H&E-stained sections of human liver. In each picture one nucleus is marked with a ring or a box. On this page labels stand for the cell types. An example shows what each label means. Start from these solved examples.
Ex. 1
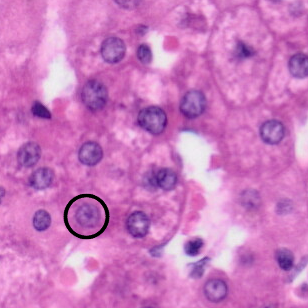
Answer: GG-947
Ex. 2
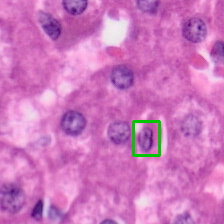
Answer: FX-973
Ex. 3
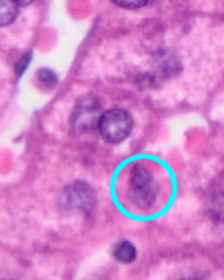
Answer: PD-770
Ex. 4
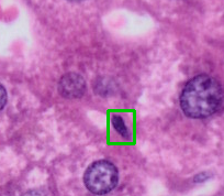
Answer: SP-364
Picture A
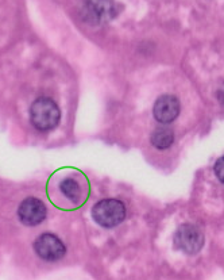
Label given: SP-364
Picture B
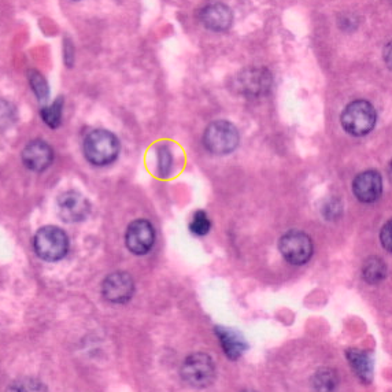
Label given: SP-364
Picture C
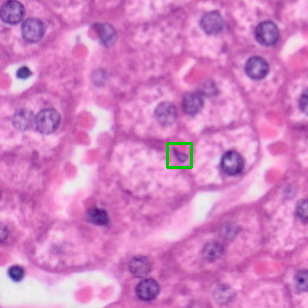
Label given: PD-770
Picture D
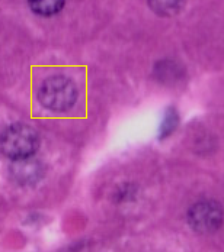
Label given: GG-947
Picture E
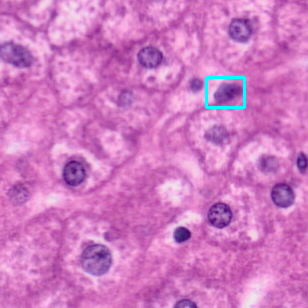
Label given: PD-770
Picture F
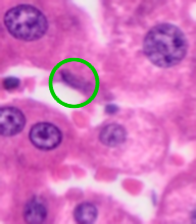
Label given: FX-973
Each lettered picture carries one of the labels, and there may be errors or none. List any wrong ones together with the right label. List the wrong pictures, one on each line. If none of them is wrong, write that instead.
B: not SP-364 but FX-973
